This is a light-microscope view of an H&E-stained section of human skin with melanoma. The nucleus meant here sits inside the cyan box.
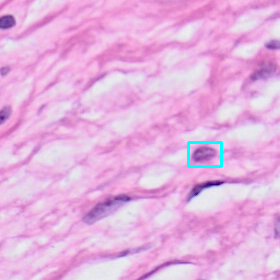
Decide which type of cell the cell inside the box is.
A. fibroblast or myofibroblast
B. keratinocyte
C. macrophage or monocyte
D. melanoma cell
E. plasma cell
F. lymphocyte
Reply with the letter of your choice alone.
C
